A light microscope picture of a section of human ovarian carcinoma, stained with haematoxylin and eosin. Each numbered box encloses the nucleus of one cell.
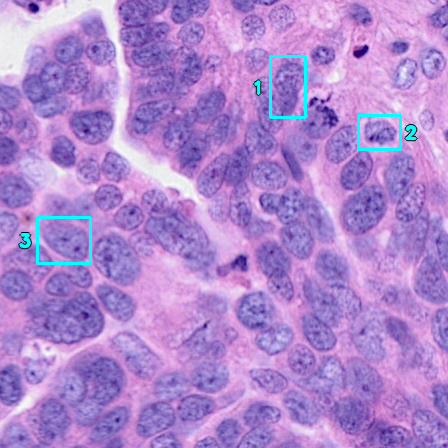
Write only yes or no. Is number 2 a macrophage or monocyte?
yes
